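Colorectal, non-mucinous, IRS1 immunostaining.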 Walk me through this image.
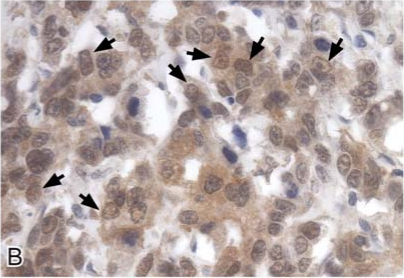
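Poorly differentiated carcinoma growing in solid sheets without glands. Tumor cells are crowded, with large round to oval vesicular nuclei, fine chromatin and small nucleoli; several nuclei show a brownish tint. Cytoplasm is moderate and diffusely light brown. Between the tumor cells lie scattered small, dark blue, elongated stromal nuclei and small clear spaces. Cell borders are indistinct and the nuclei vary somewhat in size.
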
